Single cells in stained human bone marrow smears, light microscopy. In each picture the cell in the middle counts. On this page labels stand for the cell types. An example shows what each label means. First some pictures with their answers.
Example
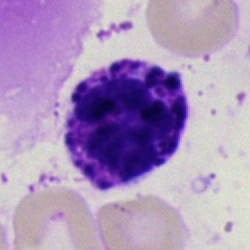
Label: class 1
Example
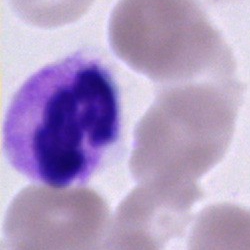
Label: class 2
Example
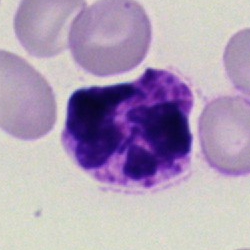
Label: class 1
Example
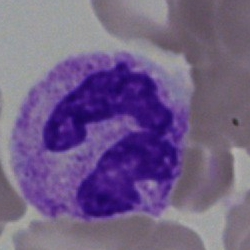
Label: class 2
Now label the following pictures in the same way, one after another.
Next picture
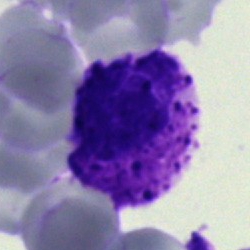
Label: class 1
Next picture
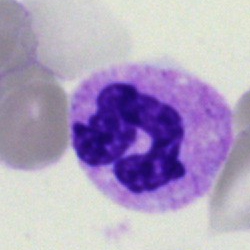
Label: class 2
